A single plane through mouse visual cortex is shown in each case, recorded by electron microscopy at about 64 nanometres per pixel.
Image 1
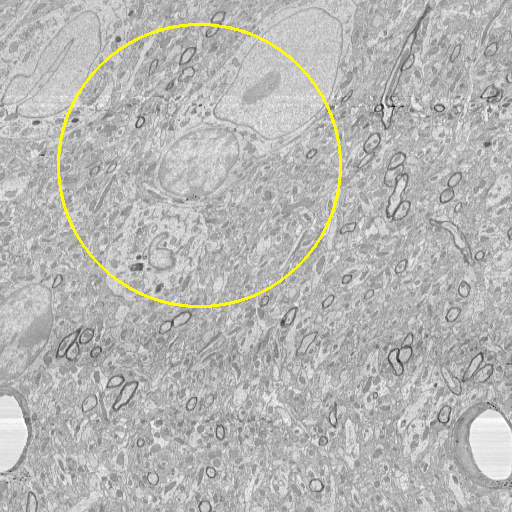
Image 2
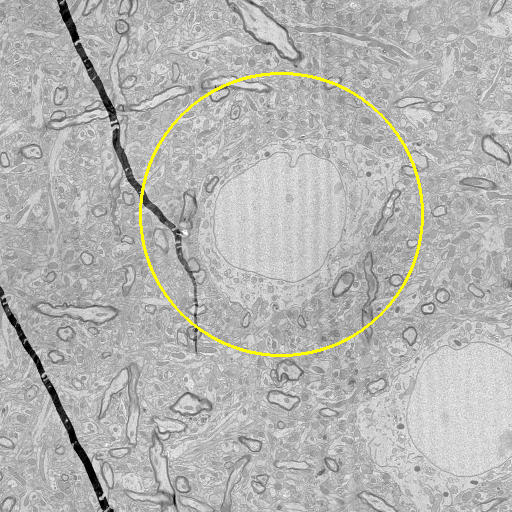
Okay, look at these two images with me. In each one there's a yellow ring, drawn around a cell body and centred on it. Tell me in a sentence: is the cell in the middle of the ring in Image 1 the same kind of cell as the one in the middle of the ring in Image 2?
No, they're two kinds of cell.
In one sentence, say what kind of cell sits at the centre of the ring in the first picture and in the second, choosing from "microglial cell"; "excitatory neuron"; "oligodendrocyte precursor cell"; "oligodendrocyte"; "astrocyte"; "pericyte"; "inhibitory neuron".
The first picture's ringed cell is an oligodendrocyte, while the second picture's is an excitatory neuron.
